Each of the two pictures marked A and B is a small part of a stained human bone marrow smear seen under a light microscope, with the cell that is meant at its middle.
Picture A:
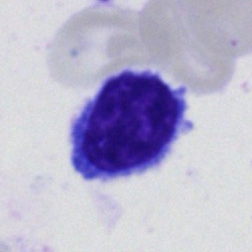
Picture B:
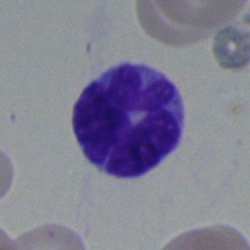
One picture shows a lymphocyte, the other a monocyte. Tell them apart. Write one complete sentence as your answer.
Picture B shows a monocyte, while picture A shows a lymphocyte.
